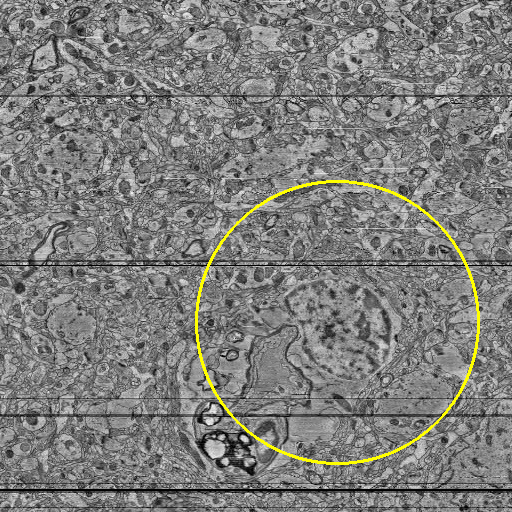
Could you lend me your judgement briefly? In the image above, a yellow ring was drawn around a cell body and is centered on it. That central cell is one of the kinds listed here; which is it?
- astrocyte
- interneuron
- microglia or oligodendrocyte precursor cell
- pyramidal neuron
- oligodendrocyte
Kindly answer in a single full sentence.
Going by the list, a microglial cell or oligodendrocyte precursor cell is the kind at the ring's center in the picture.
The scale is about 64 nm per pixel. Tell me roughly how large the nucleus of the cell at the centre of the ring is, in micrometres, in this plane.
In this plane the nucleus spans approximately 7 by 6 micrometers.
